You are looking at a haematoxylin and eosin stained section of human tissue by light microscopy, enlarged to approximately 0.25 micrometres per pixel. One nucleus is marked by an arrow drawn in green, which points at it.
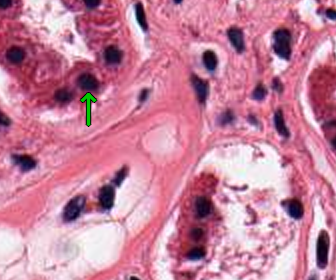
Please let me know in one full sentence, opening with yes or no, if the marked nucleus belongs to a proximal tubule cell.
Yes, the cell containing the marked nucleus is a proximal tubule cell.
